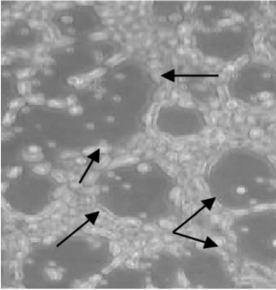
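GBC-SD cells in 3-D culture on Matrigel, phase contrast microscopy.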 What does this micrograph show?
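Bright, refractile cells gather in narrow cords and small clusters rather than spreading as a sheet. The cords branch and join, so that together they outline a meshwork of rounded dark spaces. A few small round bodies lie inside some of the spaces, while most cells sit along the borders of the mesh.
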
